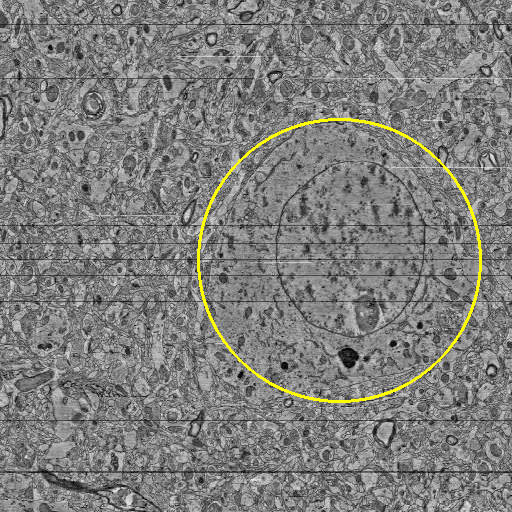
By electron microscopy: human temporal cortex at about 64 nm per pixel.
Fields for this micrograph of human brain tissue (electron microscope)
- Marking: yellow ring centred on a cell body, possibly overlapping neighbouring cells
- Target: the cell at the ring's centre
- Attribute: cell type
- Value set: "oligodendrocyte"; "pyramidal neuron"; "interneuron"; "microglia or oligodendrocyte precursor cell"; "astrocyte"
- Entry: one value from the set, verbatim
pyramidal neuron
